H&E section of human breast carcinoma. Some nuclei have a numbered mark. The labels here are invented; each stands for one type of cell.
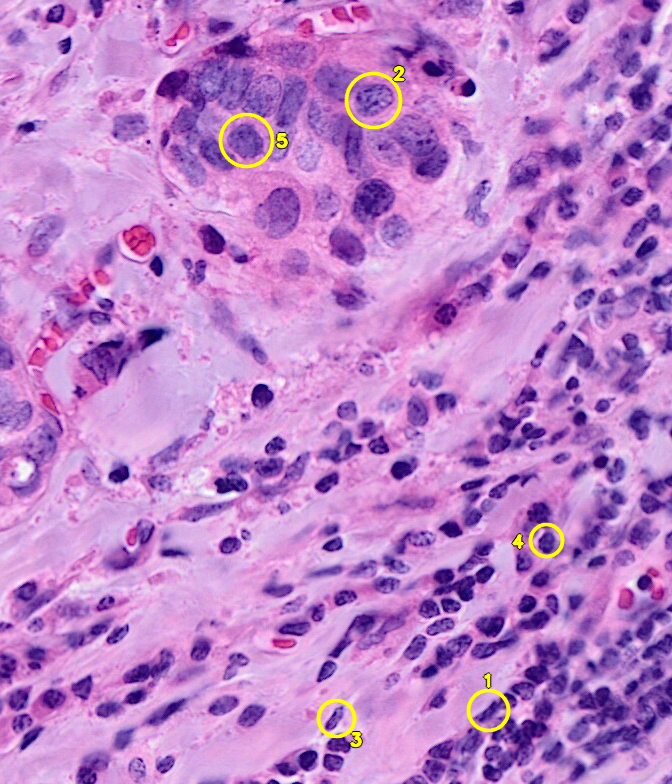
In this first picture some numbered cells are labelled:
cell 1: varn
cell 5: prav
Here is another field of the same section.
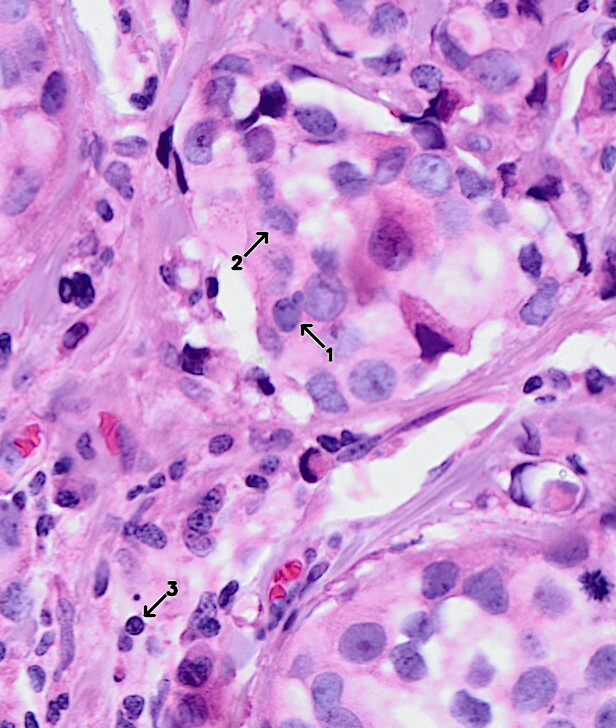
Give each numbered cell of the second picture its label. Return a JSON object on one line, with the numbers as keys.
{"1": "prav", "2": "prav", "3": "varn"}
